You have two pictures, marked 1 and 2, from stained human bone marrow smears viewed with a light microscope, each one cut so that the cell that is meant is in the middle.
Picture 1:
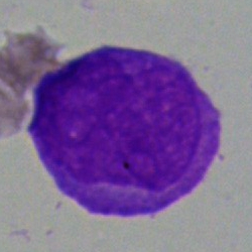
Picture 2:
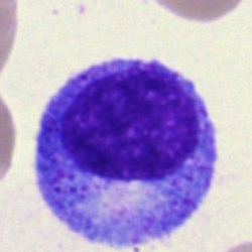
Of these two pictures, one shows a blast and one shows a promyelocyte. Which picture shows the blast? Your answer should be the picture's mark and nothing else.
1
